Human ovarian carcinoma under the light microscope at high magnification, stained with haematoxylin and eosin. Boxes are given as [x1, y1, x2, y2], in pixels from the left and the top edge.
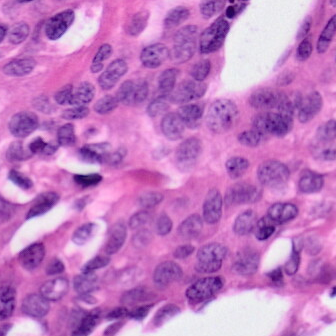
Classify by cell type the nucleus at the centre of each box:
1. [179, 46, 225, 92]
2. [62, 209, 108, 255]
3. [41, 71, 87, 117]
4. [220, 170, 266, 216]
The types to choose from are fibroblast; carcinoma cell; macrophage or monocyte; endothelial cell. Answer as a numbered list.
1. carcinoma cell
2. macrophage or monocyte
3. carcinoma cell
4. carcinoma cell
